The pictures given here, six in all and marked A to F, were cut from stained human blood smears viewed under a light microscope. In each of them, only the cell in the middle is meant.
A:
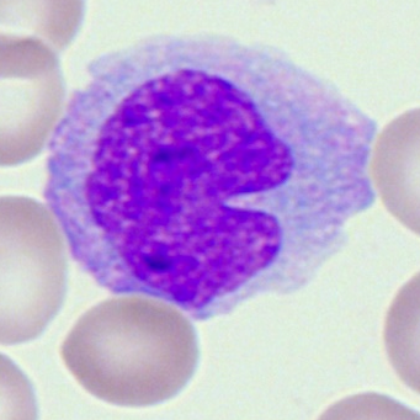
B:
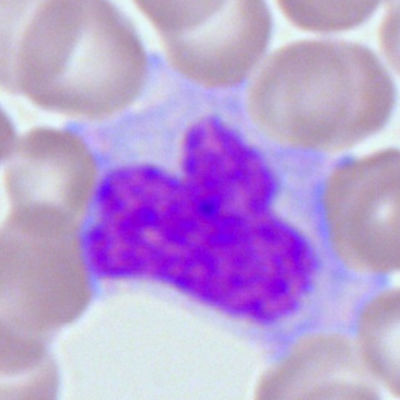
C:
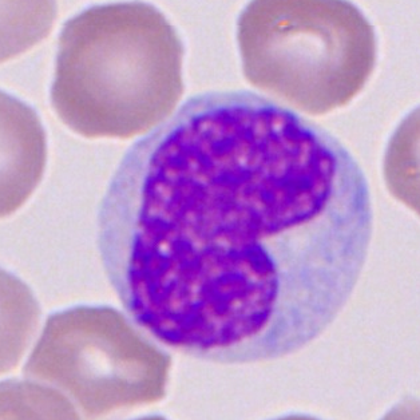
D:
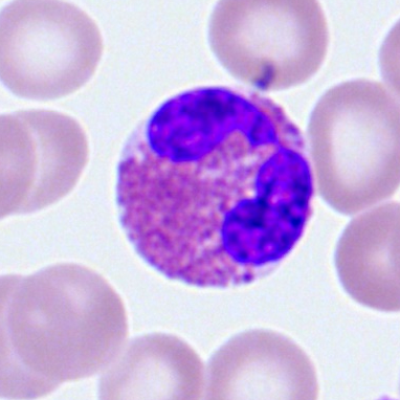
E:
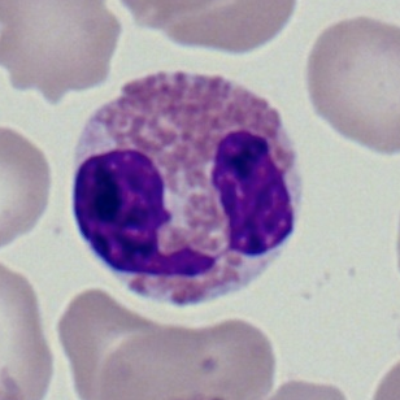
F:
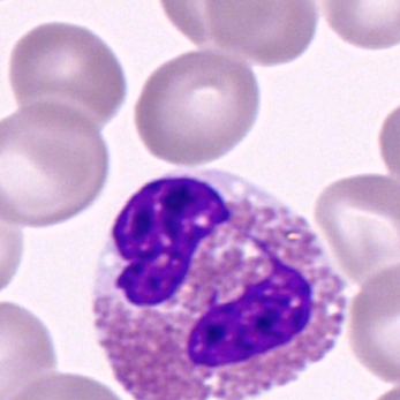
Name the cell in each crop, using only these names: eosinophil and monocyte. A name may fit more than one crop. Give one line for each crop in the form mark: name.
A: monocyte
B: monocyte
C: monocyte
D: eosinophil
E: eosinophil
F: eosinophil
